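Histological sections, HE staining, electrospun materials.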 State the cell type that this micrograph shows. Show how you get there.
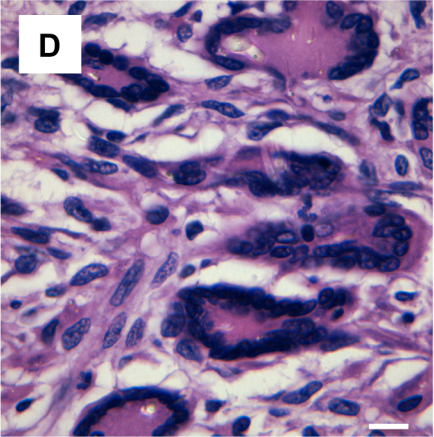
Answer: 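Large cells with many dark blue nuclei lined up along their edge. The nuclei ring a broad area of pink cytoplasm. Smaller spindle-shaped nuclei lie in the tissue between them. That points to this answer: Foreign body giant cells.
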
